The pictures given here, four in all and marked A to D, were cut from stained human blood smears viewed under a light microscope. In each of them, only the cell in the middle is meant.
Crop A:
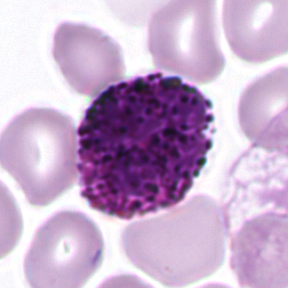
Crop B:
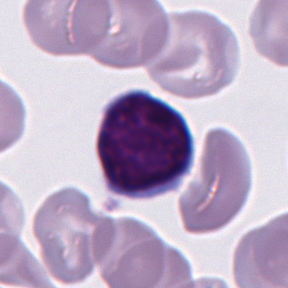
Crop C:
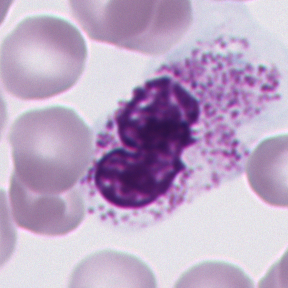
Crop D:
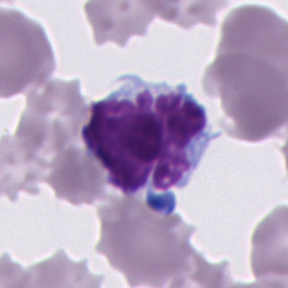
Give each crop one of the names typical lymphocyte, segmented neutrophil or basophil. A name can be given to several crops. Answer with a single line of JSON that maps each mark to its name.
{"A": "basophil", "B": "typical lymphocyte", "C": "segmented neutrophil", "D": "typical lymphocyte"}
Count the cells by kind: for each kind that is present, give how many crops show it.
typical lymphocyte: 2
basophil: 1
segmented neutrophil: 1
